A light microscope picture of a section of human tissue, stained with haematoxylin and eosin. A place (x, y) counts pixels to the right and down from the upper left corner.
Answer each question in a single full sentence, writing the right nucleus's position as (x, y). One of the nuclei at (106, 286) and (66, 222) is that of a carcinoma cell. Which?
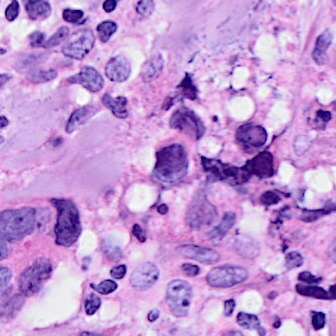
Among the two, the nucleus at (66, 222) is the nucleus of a carcinoma cell.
